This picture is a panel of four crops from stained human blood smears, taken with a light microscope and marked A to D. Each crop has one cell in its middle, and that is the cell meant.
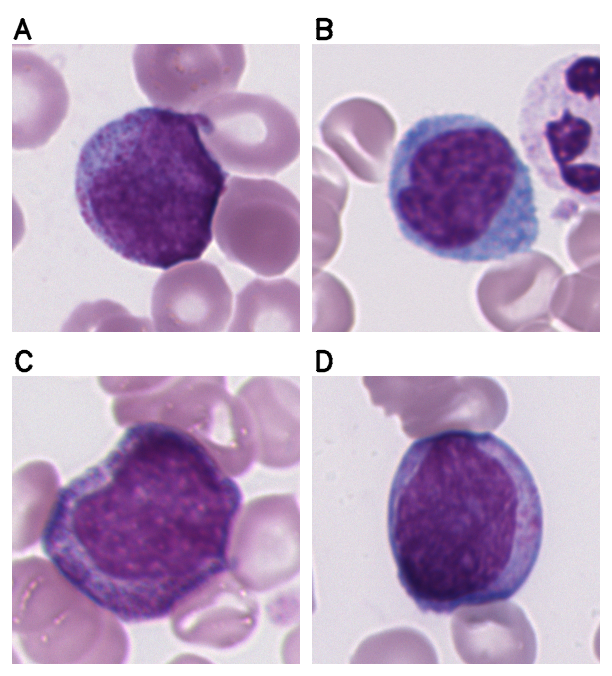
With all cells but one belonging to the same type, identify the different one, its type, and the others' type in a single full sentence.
Unlike the other crops, which all show promyelocytes, crop B is a monocyte.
